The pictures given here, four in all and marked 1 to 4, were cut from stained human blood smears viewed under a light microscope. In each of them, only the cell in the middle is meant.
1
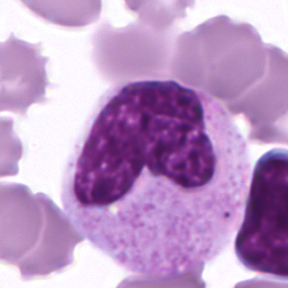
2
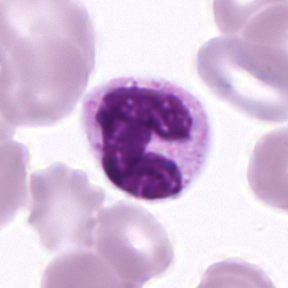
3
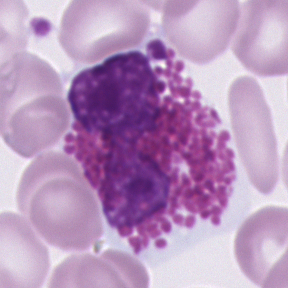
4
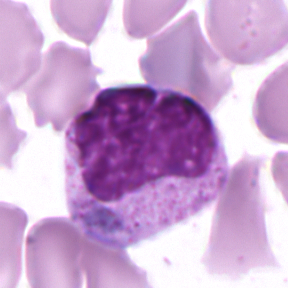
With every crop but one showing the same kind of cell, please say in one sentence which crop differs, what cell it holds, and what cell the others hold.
Only crop 3 differs, being an eosinophil, while the others all show band neutrophils.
